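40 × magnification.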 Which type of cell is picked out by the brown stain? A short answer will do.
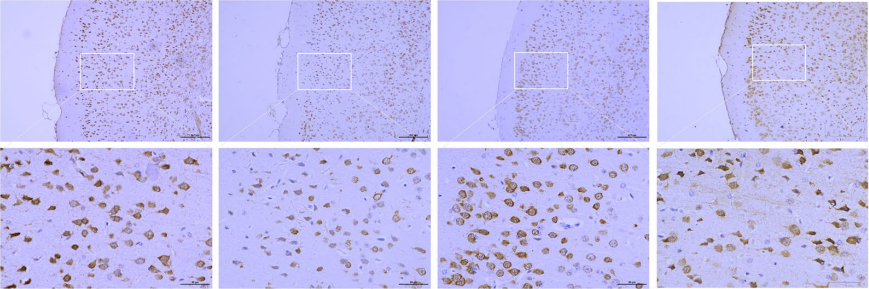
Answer: Neurons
